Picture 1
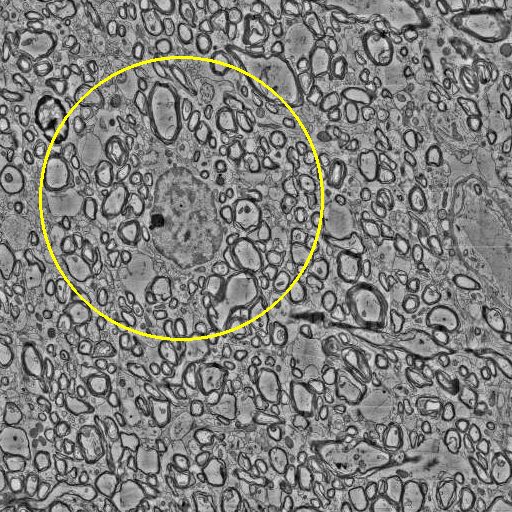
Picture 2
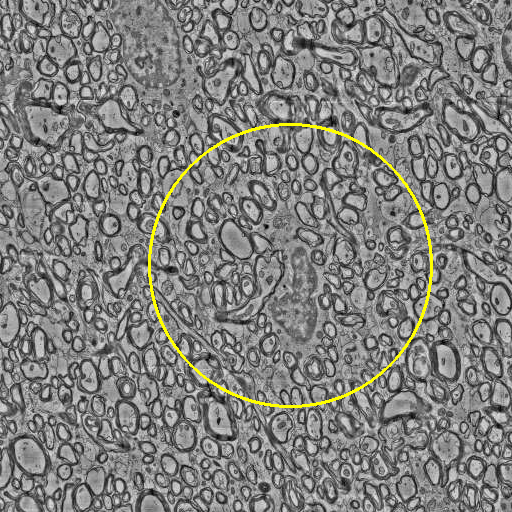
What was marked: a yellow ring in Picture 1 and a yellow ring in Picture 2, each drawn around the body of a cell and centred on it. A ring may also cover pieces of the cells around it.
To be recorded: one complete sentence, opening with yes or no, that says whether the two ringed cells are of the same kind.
Yes, the two ringed cells are of the same kind.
